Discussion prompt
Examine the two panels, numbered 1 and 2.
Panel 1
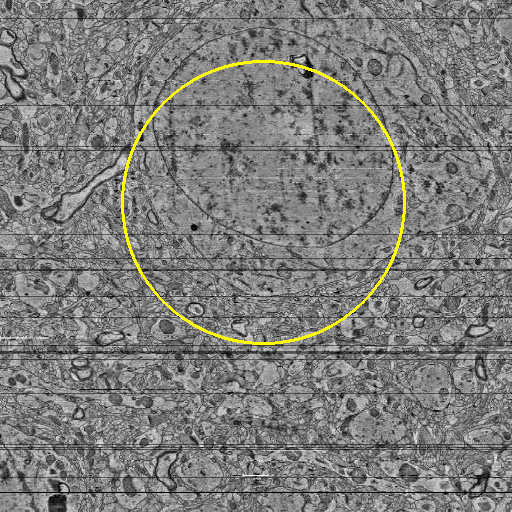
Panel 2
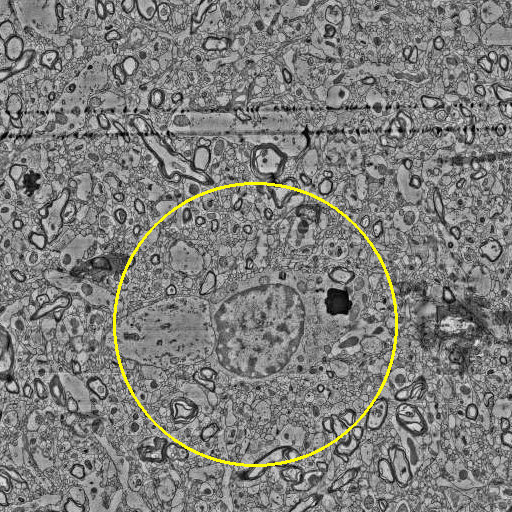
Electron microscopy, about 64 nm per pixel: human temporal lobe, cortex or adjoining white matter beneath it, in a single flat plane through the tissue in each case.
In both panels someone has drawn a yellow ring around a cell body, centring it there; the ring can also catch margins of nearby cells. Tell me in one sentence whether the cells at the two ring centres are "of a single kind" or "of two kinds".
Taken together, the two cells centred in the rings of Panels 1 and 2 are of two kinds.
